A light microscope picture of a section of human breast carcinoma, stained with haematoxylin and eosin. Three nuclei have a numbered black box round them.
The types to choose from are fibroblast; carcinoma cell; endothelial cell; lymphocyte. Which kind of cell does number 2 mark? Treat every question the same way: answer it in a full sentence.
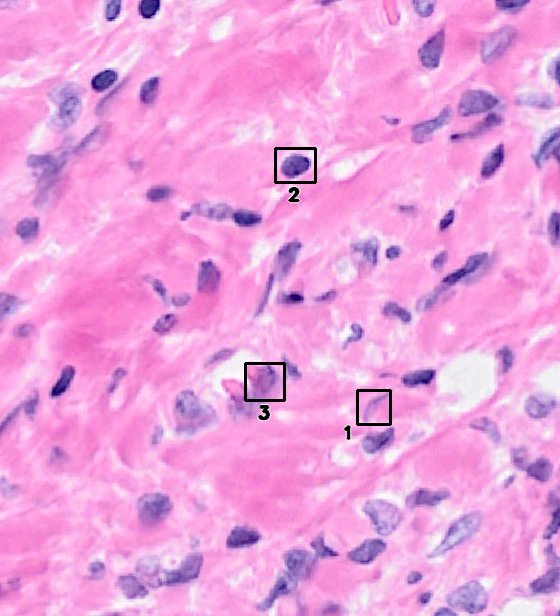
The numbered cell 2 is identified here as a lymphocyte.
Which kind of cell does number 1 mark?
Cell 1 should be recorded as a fibroblast.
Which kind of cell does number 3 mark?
Denoted by the label 3 in the section is an endothelial cell.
